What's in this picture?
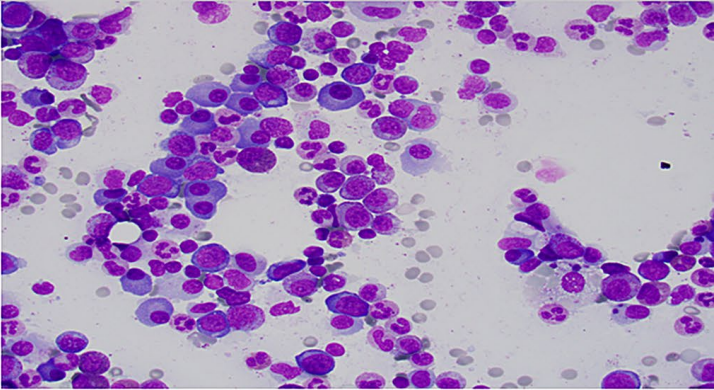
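This is a marrow aspirate smear showing a mixed population of dispersed hematopoietic cells on a pale background with scattered red cells. Many cells are granulocytes at various stages, with purple granular cytoplasm and nuclei ranging from round to indented and segmented. Scattered among them are cells with more deeply blue cytoplasm and eccentric round nuclei, the look of plasma cells, some of them larger and a few with two nuclei.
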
